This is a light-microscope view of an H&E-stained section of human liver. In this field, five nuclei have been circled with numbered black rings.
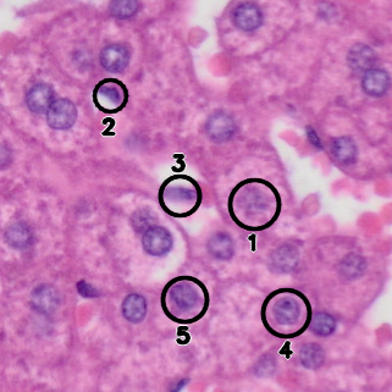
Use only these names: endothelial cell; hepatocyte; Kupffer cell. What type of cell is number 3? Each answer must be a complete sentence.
The cell that goes by number 3 is a Kupffer cell.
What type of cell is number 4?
Cell 4 should be recorded as a hepatocyte.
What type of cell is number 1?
Cell 1 of the marked set is a hepatocyte.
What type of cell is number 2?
The numbered cell 2 in this field is an endothelial cell.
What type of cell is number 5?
Recognised here as a hepatocyte is the cell numbered 5.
